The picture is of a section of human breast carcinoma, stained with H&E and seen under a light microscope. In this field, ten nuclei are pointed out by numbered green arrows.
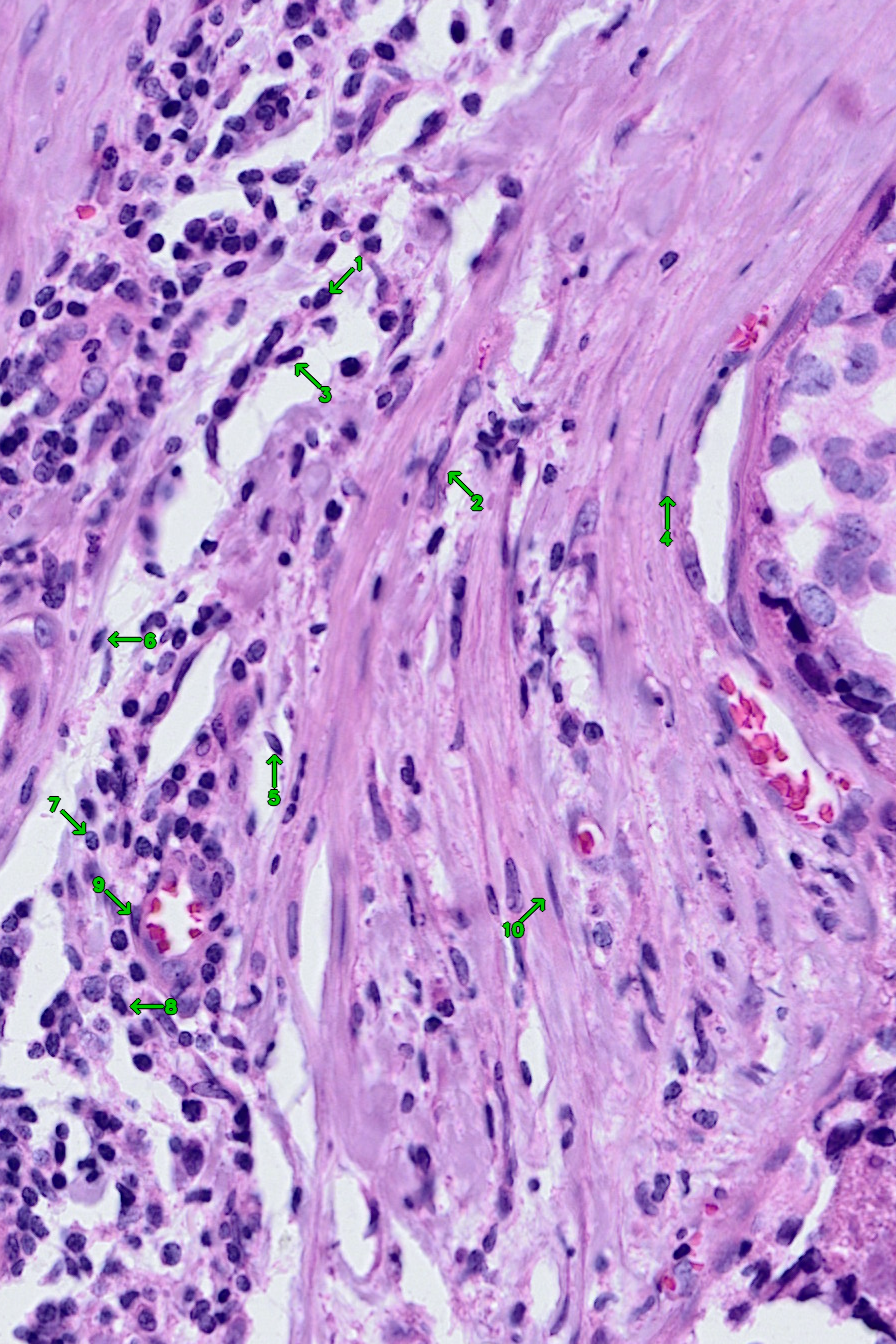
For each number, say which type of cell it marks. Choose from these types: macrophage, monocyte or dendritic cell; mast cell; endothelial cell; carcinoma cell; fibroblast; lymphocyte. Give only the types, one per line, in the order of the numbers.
lymphocyte
endothelial cell
lymphocyte
fibroblast
lymphocyte
lymphocyte
lymphocyte
lymphocyte
endothelial cell
fibroblast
